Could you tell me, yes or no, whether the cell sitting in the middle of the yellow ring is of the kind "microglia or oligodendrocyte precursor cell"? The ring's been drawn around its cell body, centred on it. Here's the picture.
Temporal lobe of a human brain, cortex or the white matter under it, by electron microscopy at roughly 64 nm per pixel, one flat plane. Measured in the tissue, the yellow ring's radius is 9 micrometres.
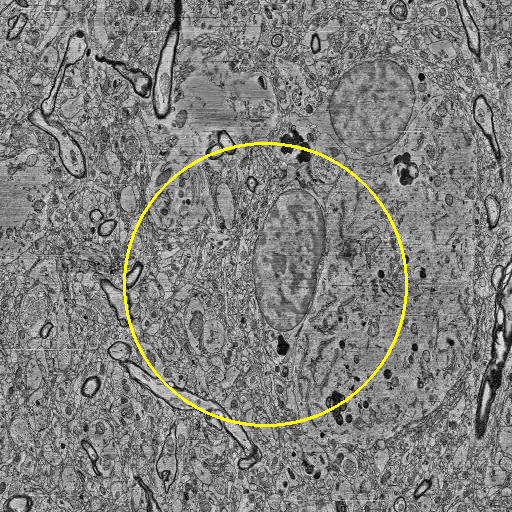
Yes, it is.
